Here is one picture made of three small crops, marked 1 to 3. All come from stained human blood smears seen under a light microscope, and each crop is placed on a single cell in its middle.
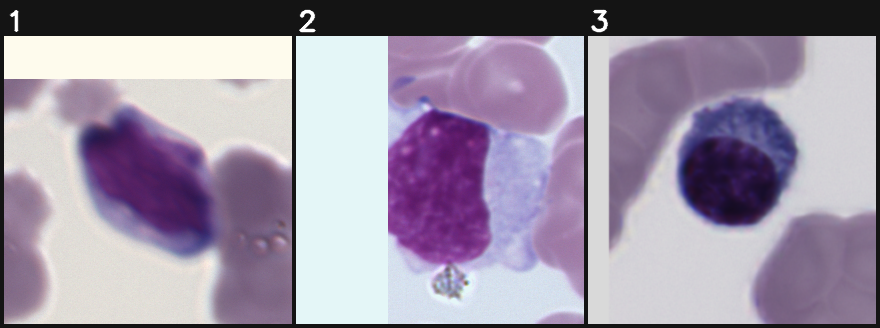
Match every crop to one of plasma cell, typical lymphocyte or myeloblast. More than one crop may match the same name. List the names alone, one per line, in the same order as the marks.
myeloblast
typical lymphocyte
plasma cell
